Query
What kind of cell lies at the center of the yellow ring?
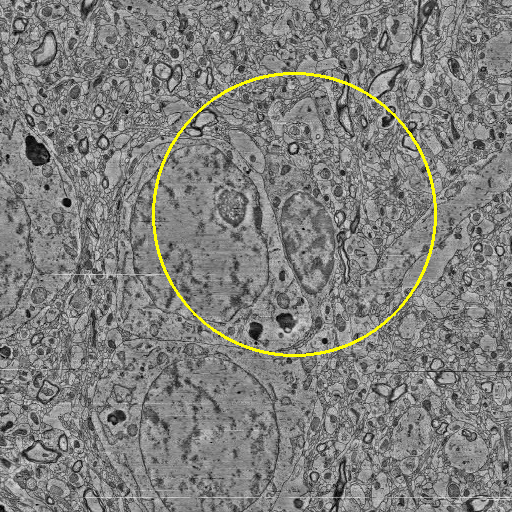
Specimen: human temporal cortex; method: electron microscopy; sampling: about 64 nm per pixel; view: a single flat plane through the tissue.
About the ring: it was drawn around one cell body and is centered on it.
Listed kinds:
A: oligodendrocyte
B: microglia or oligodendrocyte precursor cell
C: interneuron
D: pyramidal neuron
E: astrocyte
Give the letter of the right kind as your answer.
A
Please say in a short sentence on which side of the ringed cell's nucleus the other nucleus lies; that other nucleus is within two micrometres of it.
The other one lies to the lower left of it.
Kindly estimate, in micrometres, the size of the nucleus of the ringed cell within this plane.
Approximately 7 by 4 micrometers in this plane.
